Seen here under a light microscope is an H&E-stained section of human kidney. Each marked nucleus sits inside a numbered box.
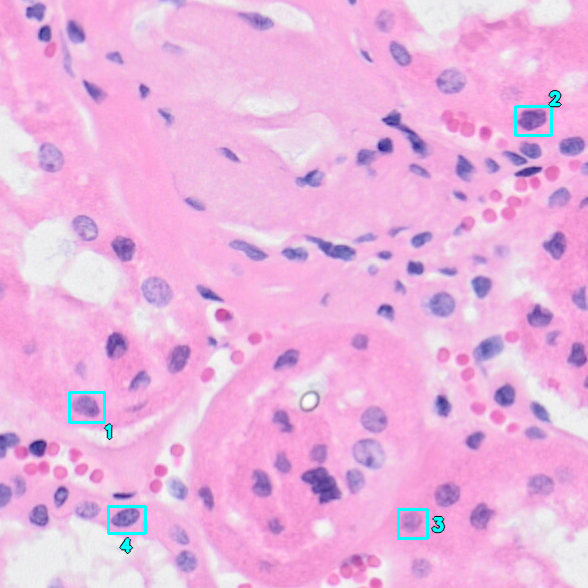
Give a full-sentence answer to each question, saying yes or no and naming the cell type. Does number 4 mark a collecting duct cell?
Yes, the number 4 belongs to a collecting duct cell.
